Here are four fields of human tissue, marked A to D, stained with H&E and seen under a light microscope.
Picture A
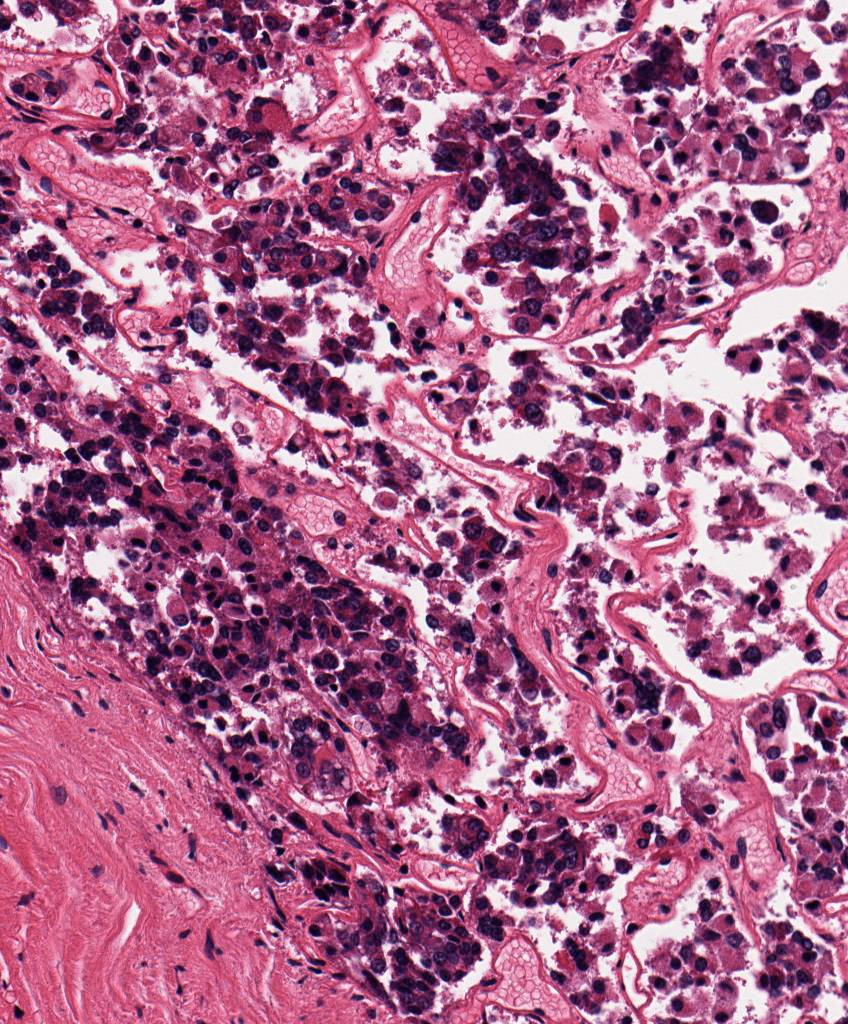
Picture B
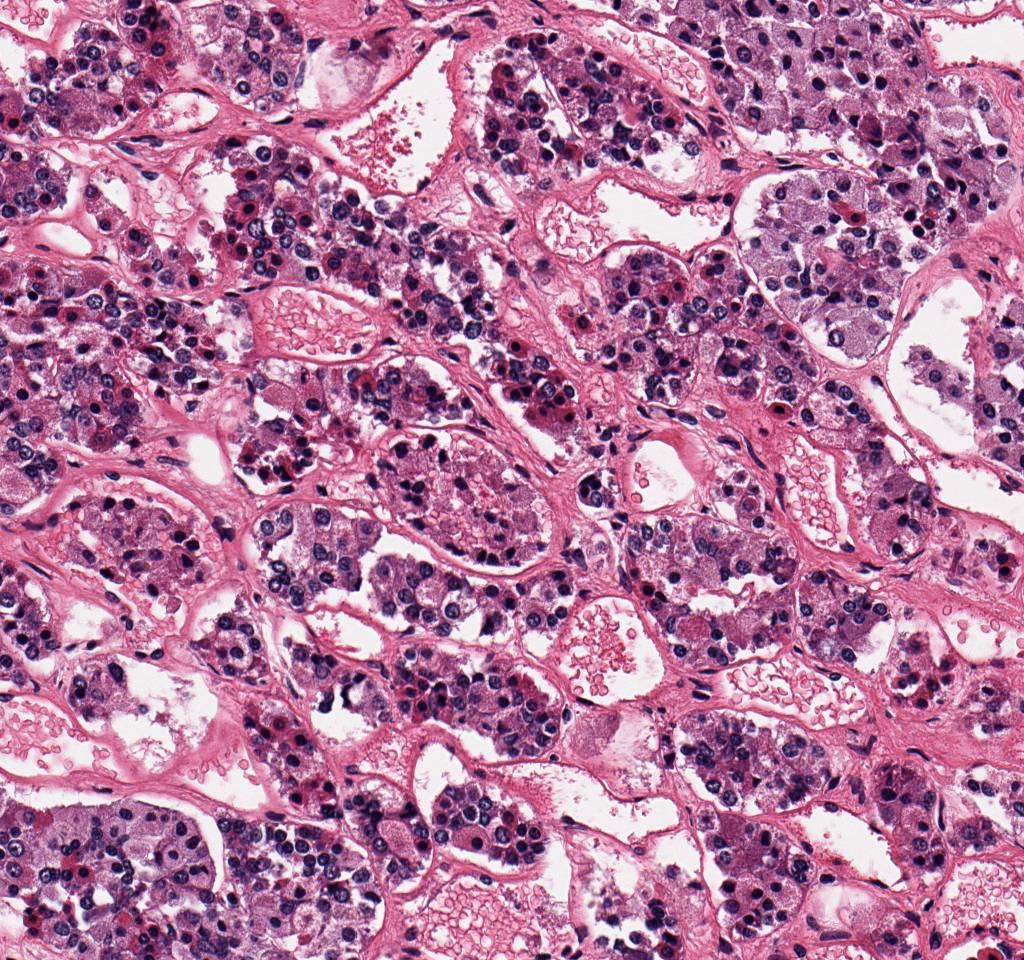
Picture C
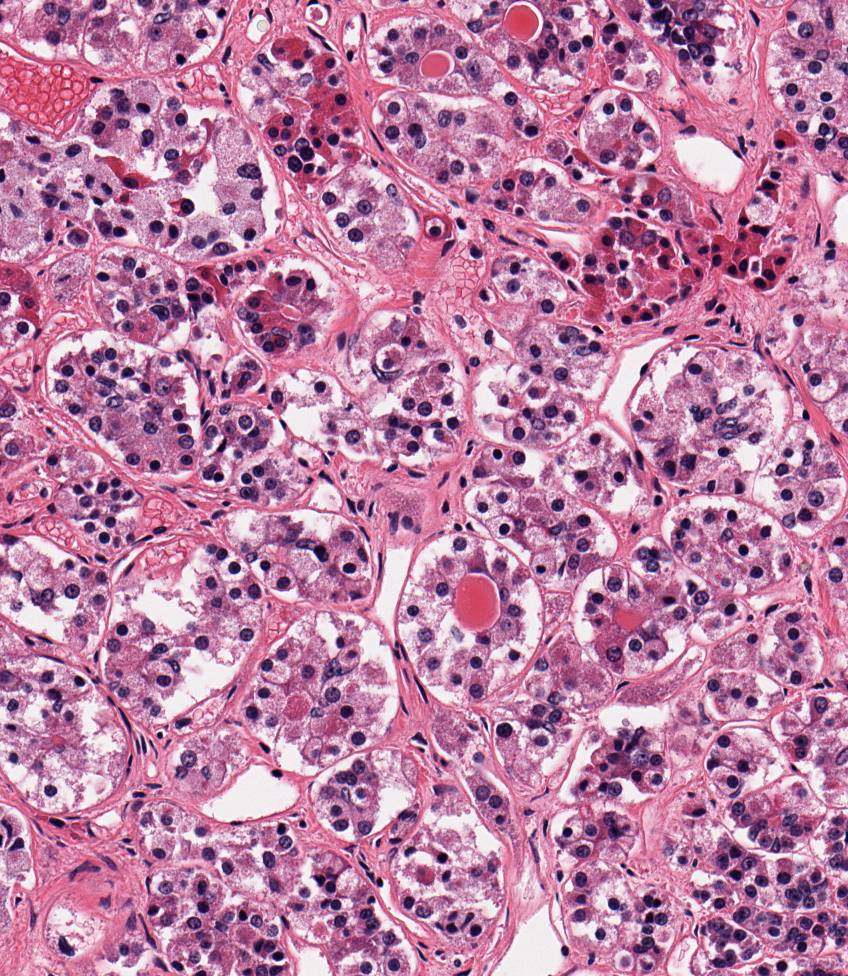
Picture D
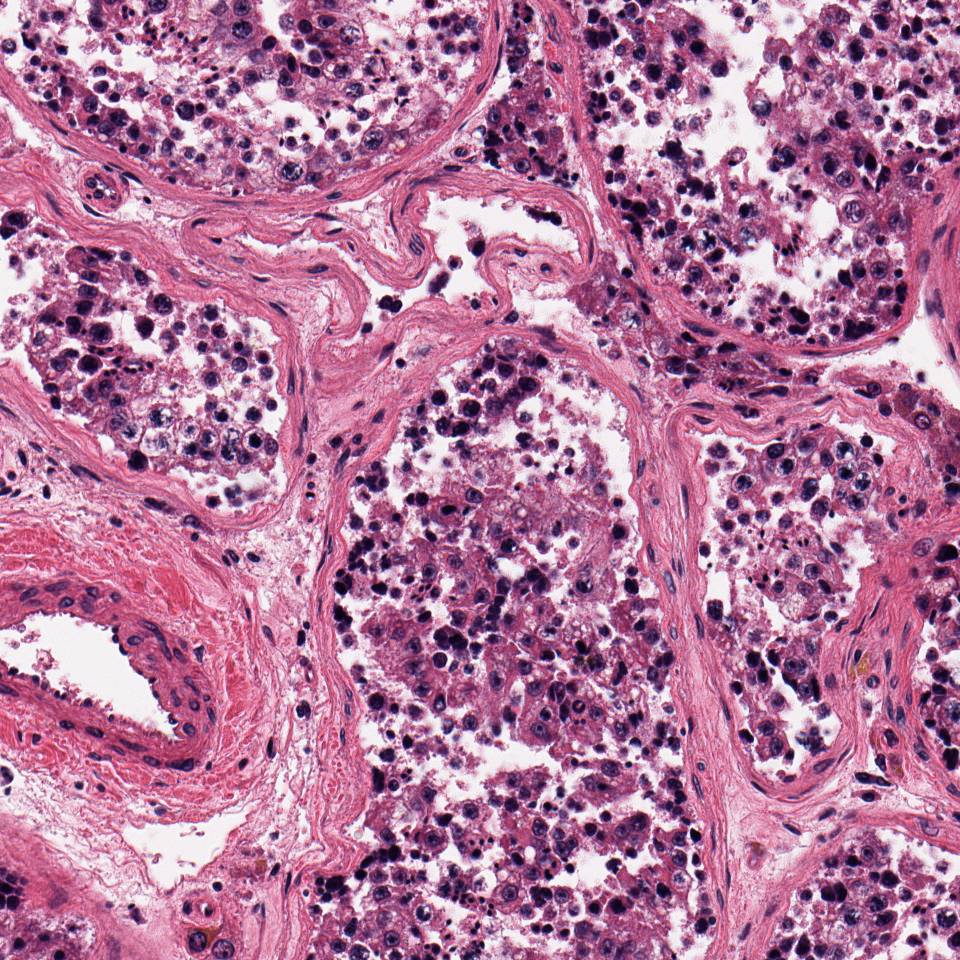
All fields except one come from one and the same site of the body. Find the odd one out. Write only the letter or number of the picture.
D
